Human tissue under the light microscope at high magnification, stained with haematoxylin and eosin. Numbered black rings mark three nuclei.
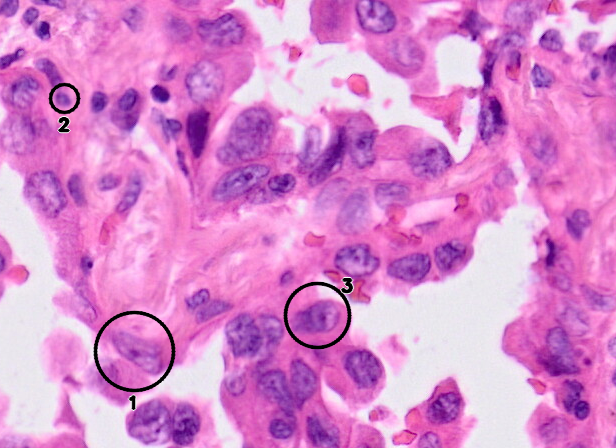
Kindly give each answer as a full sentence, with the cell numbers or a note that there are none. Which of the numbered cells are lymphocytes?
Of the numbered cells, only cell 2 is a lymphocyte.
